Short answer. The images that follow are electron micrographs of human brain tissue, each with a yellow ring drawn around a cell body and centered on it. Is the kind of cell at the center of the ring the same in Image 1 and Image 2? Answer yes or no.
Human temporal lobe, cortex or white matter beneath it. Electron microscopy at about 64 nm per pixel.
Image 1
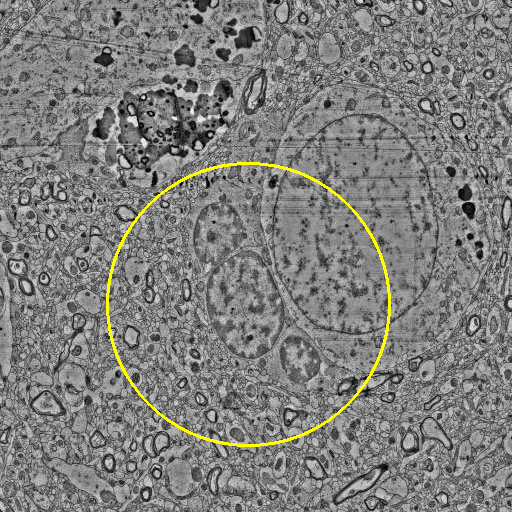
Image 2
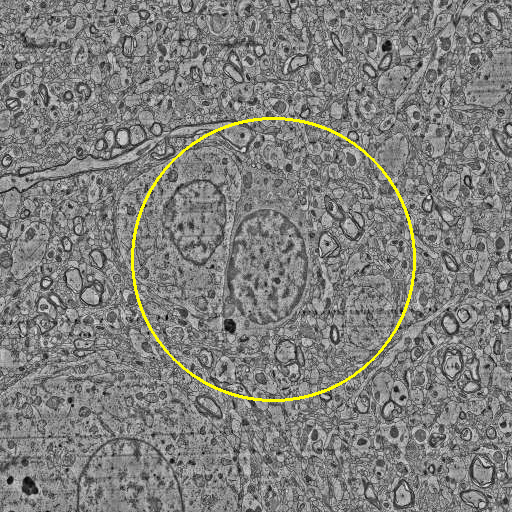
yes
